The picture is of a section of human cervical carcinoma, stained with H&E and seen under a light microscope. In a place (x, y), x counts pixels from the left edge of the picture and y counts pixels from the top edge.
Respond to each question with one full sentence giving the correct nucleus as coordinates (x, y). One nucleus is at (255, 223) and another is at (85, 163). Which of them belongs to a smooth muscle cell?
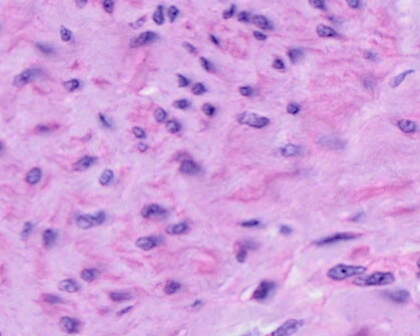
The nucleus at (85, 163) is housed in a smooth muscle cell.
